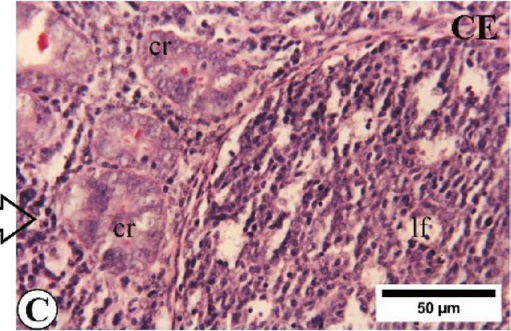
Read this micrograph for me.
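This is the lymphoid-rich wall of the cecum, where crypts of epithelial cells lie beside a lymphoid follicle. On the left, the crypts appear as rounded nests of larger cells with paler pink cytoplasm and oval nuclei, enclosed by thin fibrous strands. On the right, the follicle is packed densely with small, round, dark-purple nuclei of lymphocytes, with scattered clear spaces between them.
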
